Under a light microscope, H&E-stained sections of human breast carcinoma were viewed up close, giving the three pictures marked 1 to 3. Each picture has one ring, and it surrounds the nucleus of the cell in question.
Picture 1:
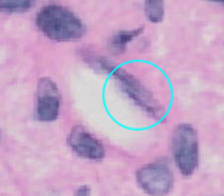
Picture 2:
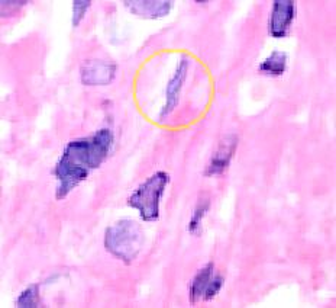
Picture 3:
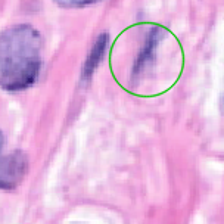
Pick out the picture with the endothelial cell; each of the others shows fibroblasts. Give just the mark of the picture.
1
